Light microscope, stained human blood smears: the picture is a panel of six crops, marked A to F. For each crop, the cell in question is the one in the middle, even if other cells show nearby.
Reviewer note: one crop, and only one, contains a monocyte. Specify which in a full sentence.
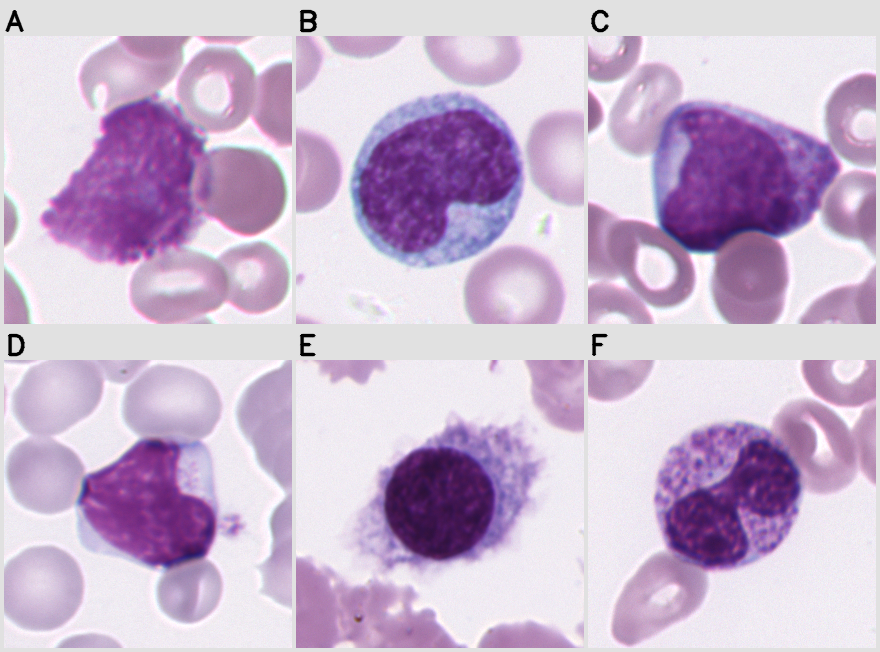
Among the crops, only crop B contains a monocyte.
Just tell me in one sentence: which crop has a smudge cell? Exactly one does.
The crop with a smudge cell at its center is crop A.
